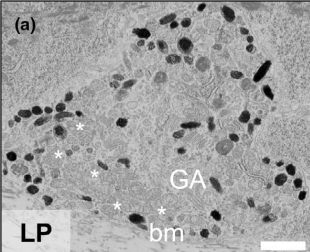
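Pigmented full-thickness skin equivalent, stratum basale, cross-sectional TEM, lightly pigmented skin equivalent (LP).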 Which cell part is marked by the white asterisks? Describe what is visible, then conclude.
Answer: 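Mitochondria. They are paler and larger-textured than the dense black granules nearby.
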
